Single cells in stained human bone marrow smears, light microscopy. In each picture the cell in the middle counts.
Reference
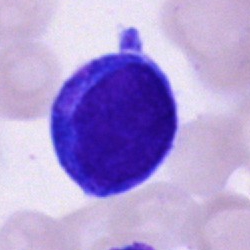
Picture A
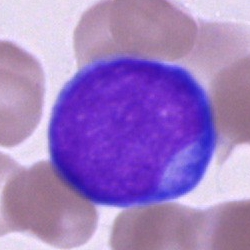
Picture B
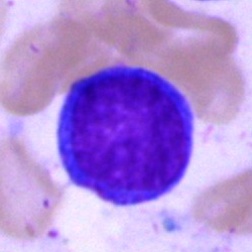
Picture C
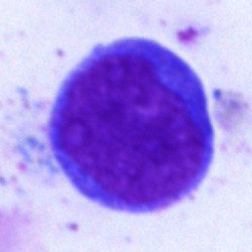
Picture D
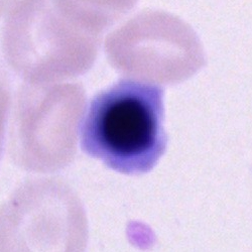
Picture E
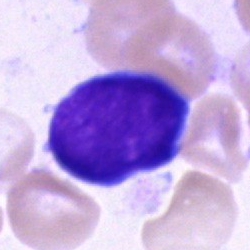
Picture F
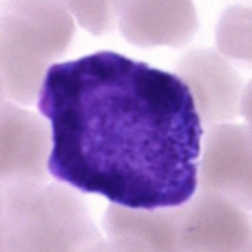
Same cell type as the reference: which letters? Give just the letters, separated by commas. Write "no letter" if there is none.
A, B, C, E, F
